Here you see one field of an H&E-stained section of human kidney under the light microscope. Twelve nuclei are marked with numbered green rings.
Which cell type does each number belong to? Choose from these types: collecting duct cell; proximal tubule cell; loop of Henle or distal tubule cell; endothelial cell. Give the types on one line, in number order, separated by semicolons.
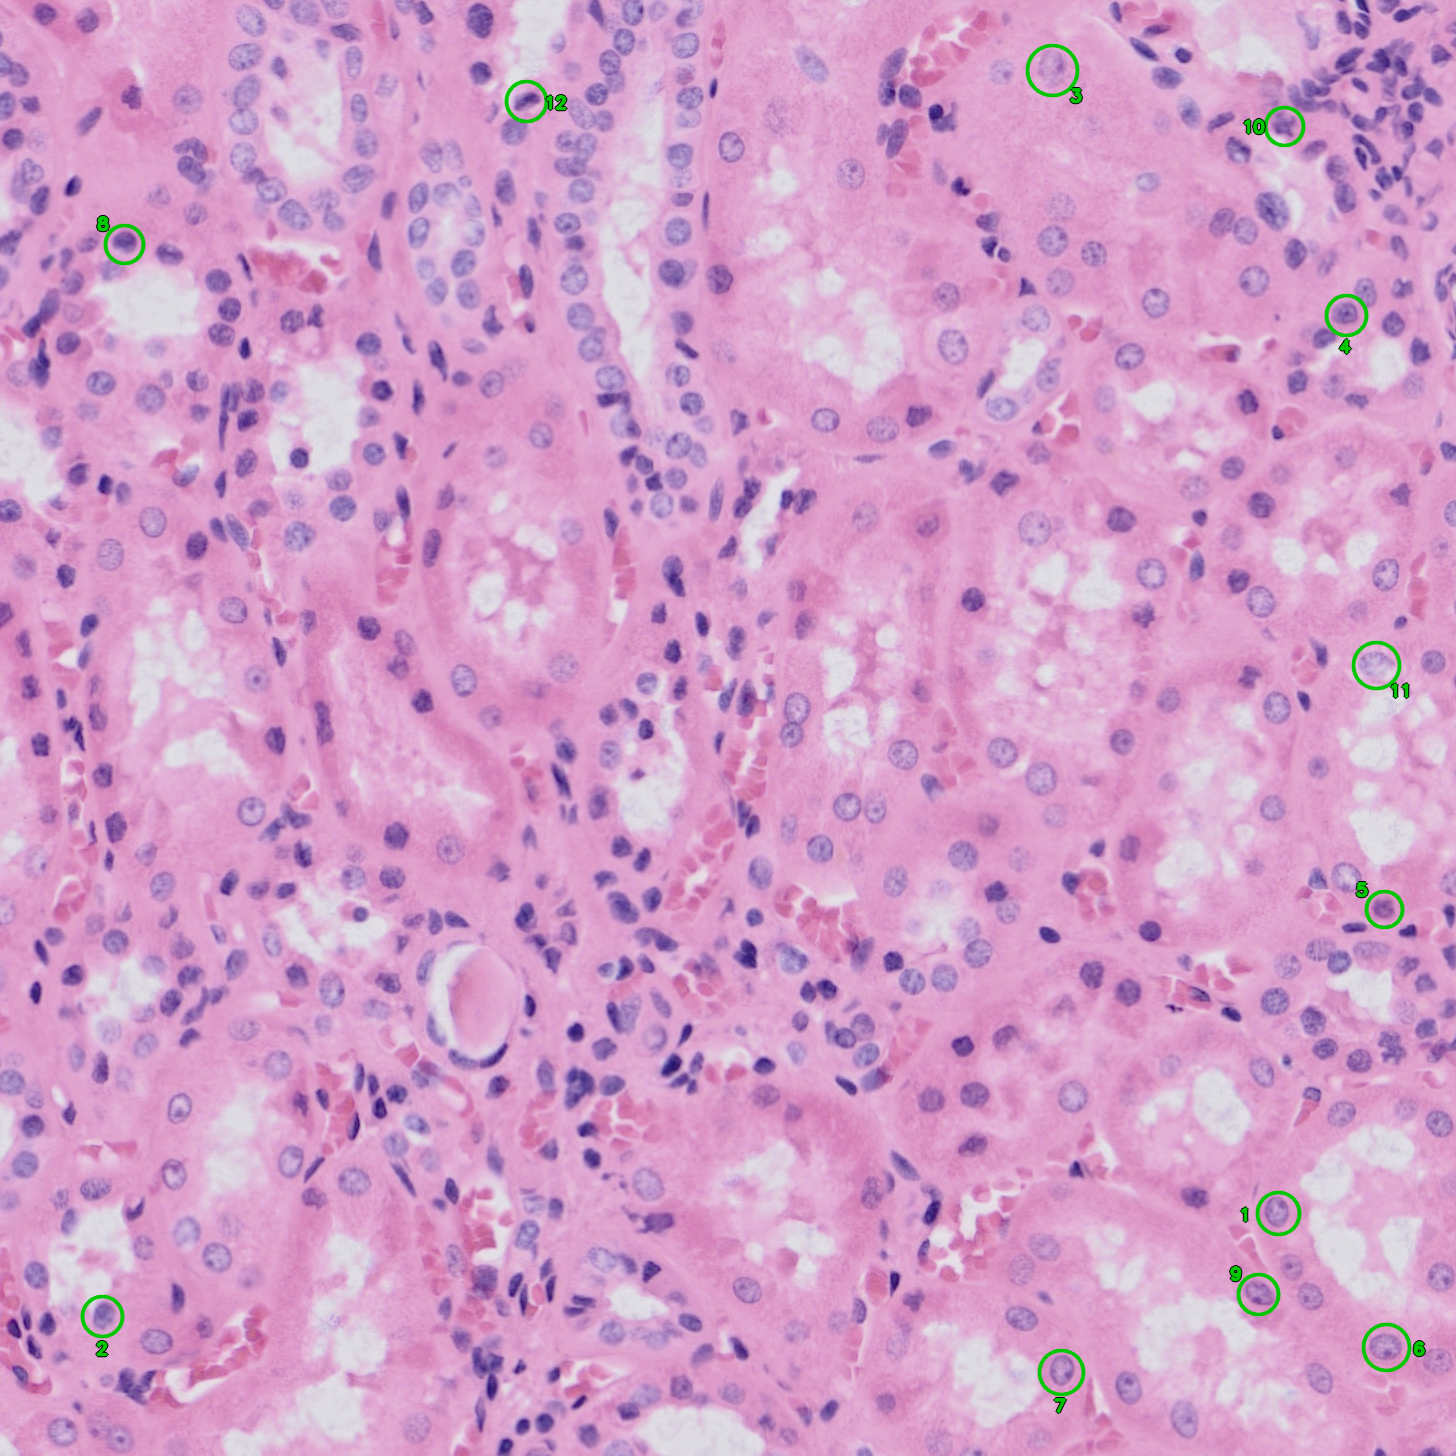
proximal tubule cell; loop of Henle or distal tubule cell; proximal tubule cell; loop of Henle or distal tubule cell; proximal tubule cell; proximal tubule cell; proximal tubule cell; loop of Henle or distal tubule cell; proximal tubule cell; loop of Henle or distal tubule cell; proximal tubule cell; loop of Henle or distal tubule cell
